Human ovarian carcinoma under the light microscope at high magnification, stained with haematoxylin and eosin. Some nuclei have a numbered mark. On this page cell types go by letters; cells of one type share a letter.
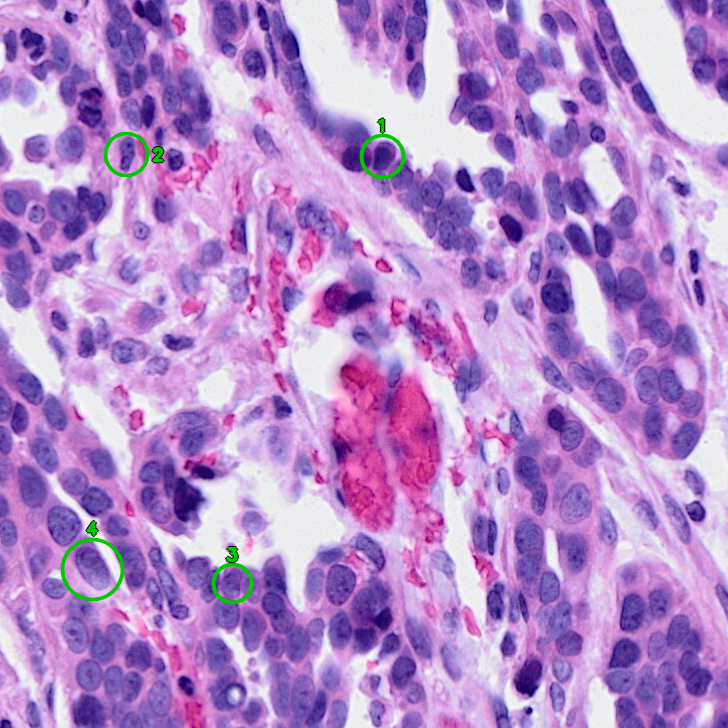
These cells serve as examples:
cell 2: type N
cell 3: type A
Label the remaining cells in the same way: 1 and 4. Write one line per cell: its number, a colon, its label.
1: type A
4: type A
